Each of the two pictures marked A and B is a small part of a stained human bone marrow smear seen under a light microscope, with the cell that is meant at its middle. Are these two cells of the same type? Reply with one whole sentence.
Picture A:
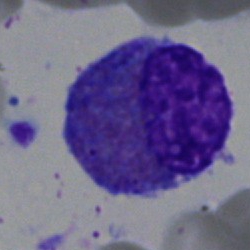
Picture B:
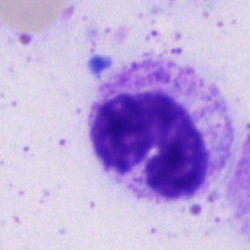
No; the cell in picture A is an eosinophil, while the one in picture B is a band neutrophil.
